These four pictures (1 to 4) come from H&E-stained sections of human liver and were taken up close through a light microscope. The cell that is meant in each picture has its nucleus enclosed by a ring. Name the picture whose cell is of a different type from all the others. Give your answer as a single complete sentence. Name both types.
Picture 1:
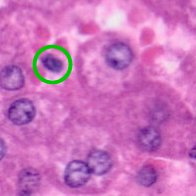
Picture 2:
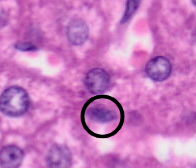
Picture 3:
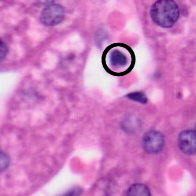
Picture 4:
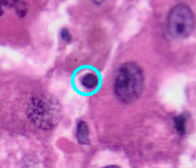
The different one is picture 2; it shows a “fibroblast or stellate cell”, whereas all the others show lymphocytes.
